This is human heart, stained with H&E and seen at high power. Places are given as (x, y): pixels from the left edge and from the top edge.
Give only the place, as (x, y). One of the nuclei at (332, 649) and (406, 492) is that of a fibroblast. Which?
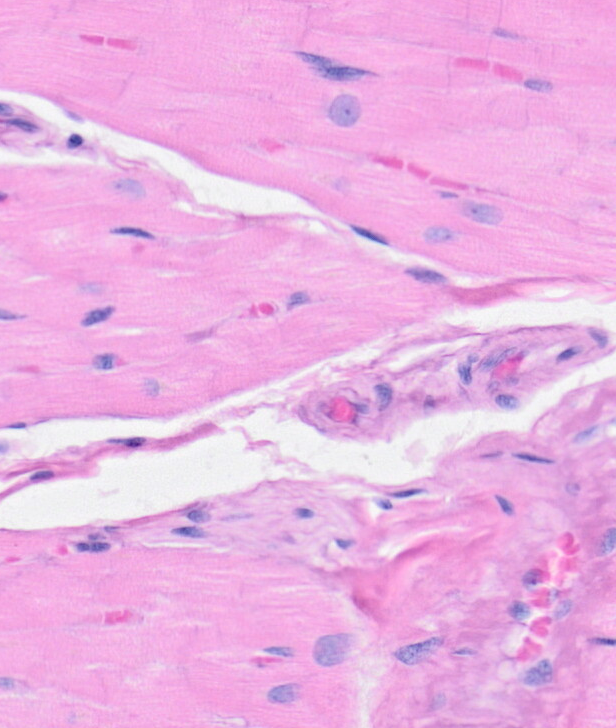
(406, 492)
